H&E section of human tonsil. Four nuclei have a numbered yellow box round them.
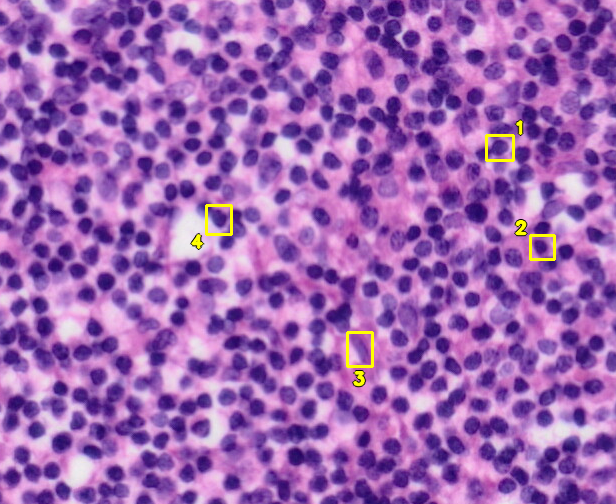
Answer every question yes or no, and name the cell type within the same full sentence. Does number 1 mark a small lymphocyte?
Yes, the cell at the mark numbered 1 is a small lymphocyte.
